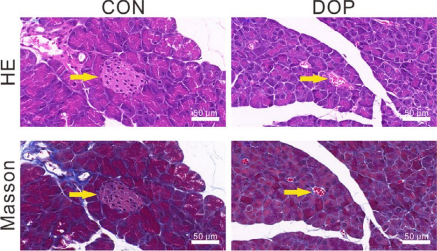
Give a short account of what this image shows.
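Sections of pancreas with lobules of exocrine acinar cells surrounding endocrine islets. The acinar cells are packed in lobules with dark purple-red cytoplasm, while the islets are rounded clusters of paler cells. In one pair of images the islet is large and well defined; in the other it is small and contains clear vacuolated spaces.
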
